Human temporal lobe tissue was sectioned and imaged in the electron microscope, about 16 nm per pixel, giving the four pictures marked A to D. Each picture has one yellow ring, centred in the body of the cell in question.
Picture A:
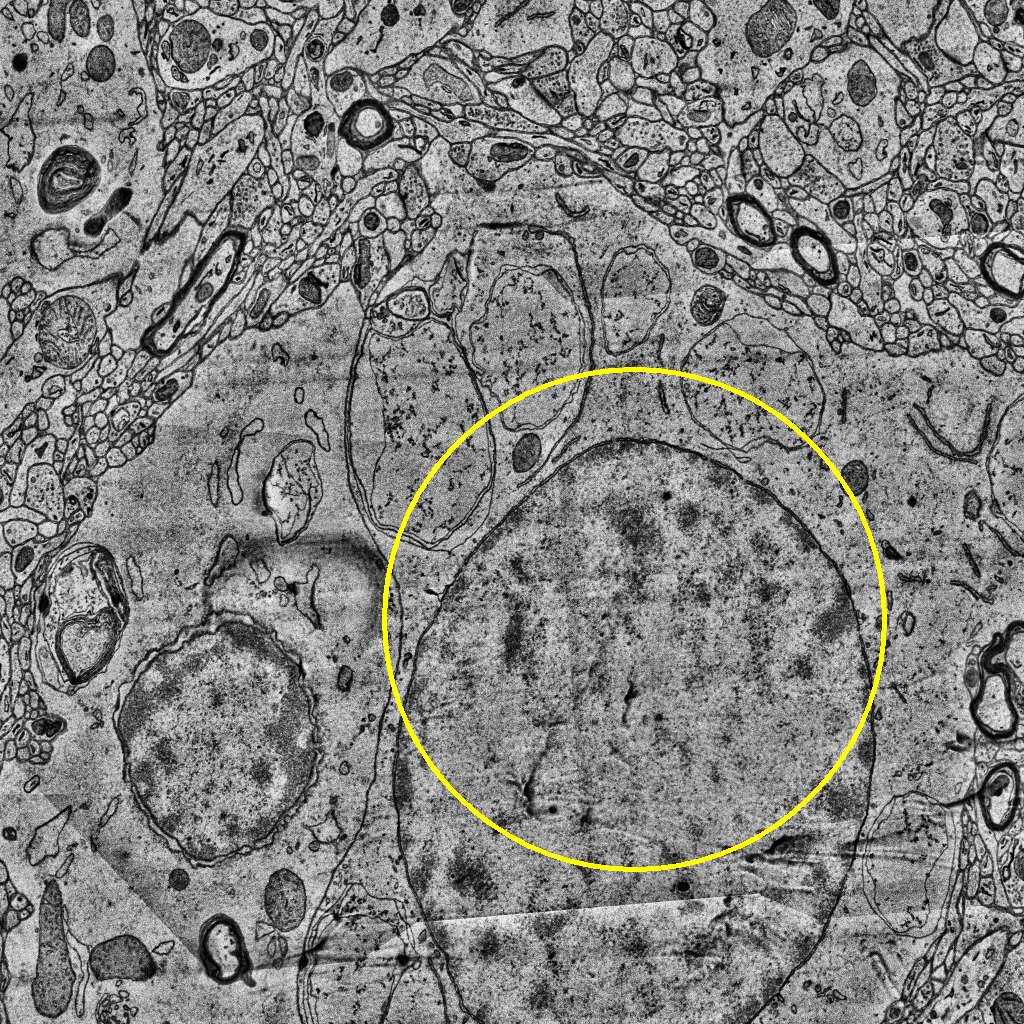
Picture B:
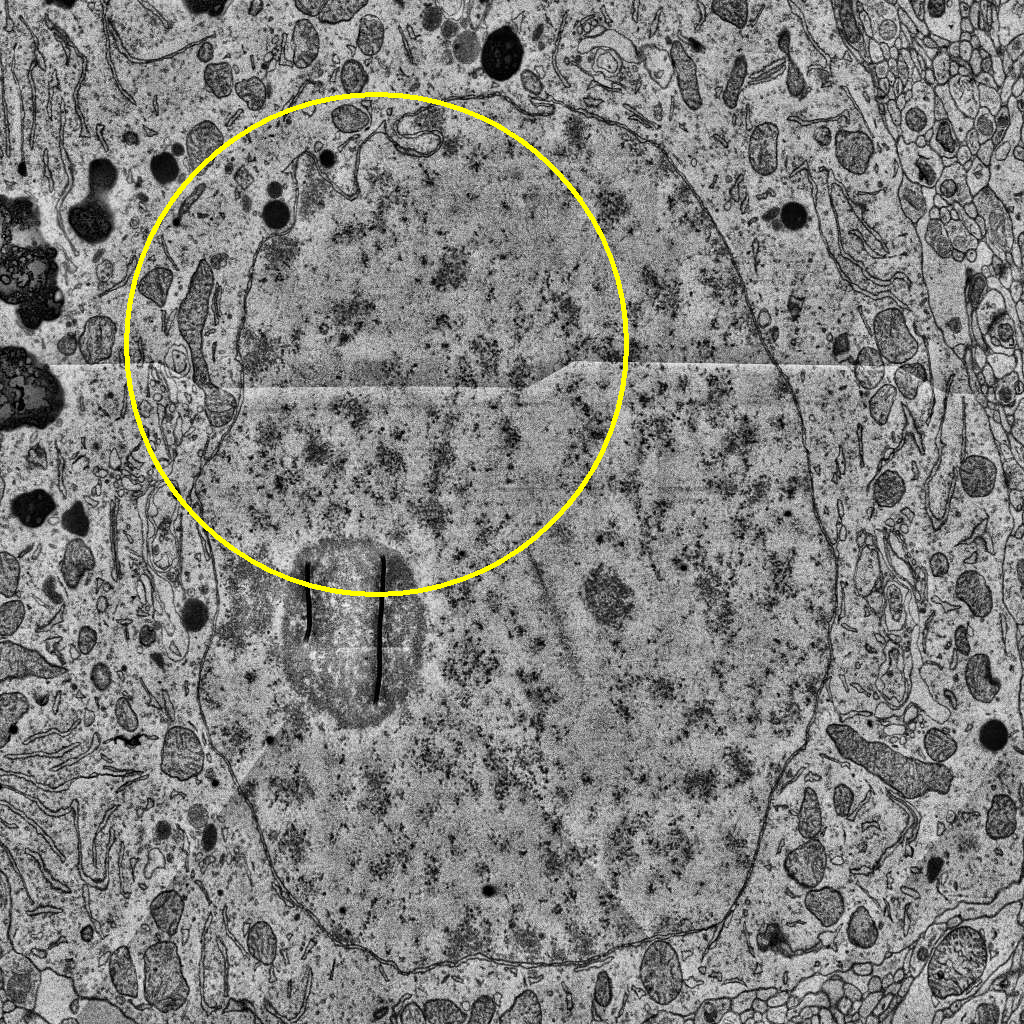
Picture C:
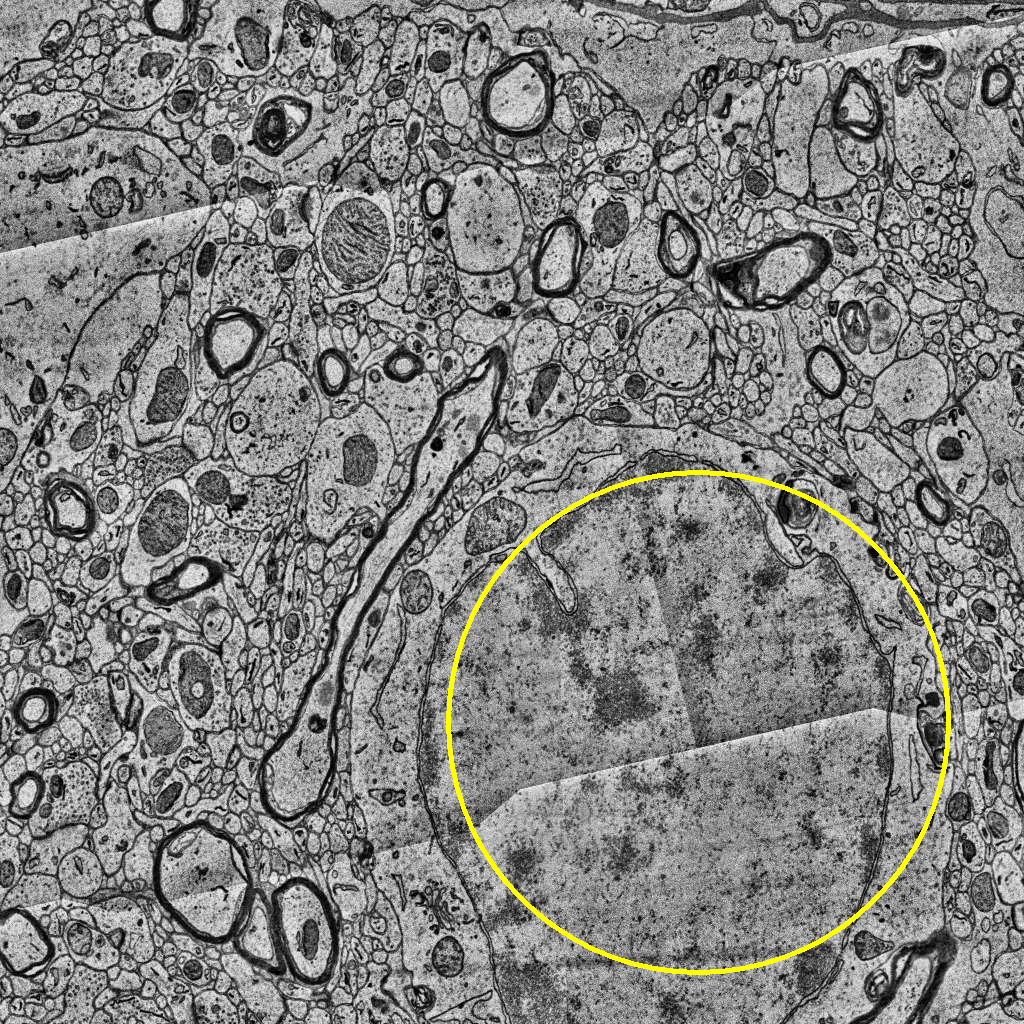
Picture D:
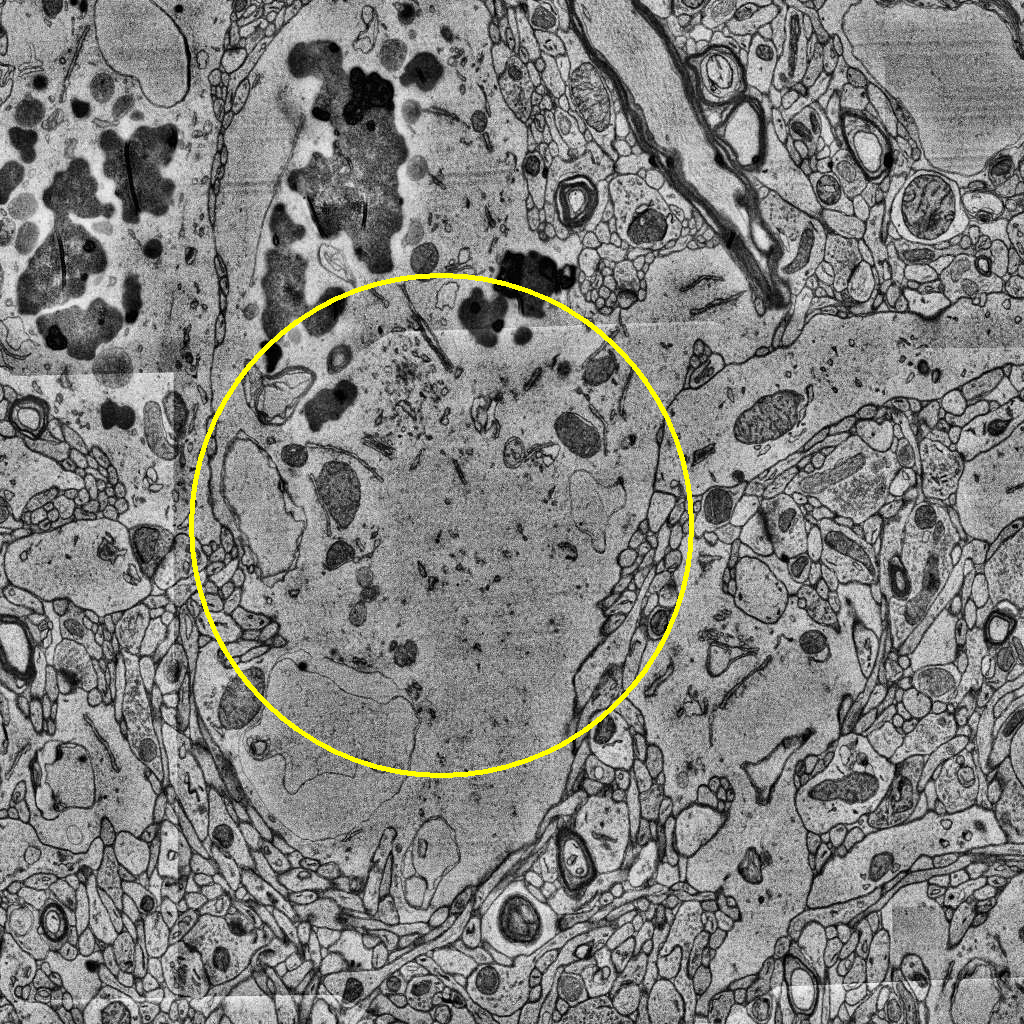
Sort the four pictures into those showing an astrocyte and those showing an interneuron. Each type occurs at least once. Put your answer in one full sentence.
Pictures A and D show astrocytes, while pictures B and C show interneurons.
